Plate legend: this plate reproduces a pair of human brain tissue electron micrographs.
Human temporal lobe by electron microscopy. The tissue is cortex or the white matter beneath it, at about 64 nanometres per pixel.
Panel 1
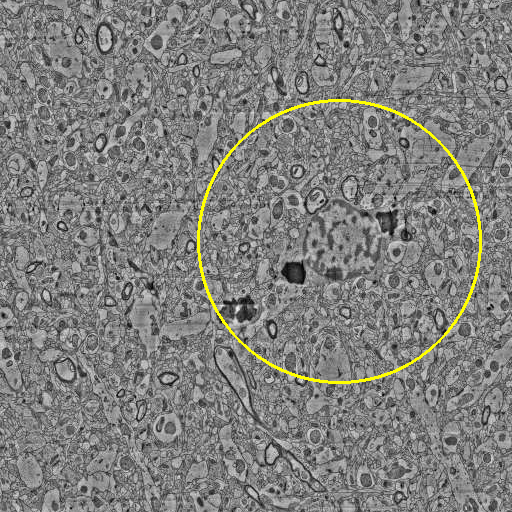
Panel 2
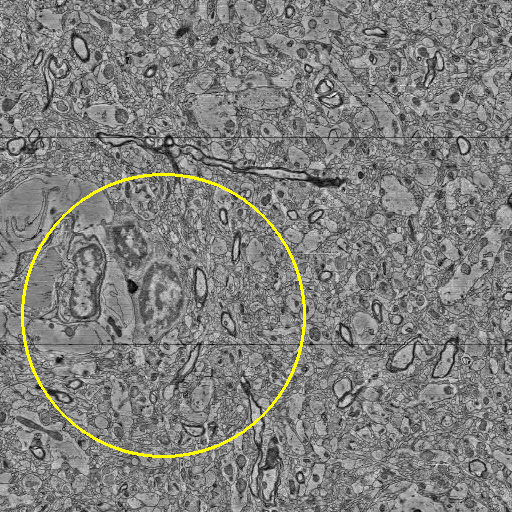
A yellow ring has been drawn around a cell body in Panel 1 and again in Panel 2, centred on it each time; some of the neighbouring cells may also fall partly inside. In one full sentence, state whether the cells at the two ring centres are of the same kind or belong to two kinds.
The ring-centred cells of Panel 1 and Panel 2 are of the same kind.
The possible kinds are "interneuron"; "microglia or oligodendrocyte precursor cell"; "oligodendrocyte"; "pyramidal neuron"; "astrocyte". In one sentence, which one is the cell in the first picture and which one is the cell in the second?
In both pictures the ring is centred on an oligodendrocyte.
